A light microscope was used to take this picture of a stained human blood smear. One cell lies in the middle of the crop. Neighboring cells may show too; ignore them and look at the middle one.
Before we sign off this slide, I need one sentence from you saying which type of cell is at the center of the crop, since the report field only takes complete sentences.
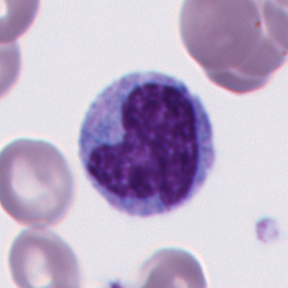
Looking at the middle of the crop, the cell there is a monocyte.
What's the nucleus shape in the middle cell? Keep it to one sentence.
The nucleus is one compact mass, round, oval or kidney-shaped in outline.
